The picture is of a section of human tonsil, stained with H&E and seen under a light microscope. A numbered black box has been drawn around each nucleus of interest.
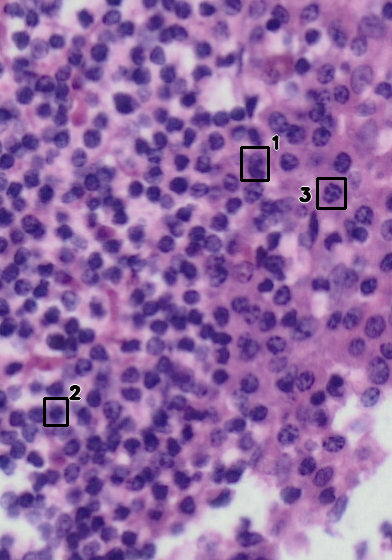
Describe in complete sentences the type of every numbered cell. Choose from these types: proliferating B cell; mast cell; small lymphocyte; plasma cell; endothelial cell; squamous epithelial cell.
Cell 1 is a plasma cell, cell 2 is a small lymphocyte and cell 3 is a plasma cell.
